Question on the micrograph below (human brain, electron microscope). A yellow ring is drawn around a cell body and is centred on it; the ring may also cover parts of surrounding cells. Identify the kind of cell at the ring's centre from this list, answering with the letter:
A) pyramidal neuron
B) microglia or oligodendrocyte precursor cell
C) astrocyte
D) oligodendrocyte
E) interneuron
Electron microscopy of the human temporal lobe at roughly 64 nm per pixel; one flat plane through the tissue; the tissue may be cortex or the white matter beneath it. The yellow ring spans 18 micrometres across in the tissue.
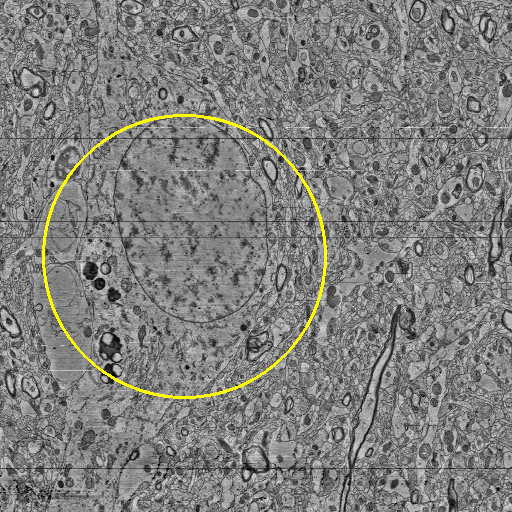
A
